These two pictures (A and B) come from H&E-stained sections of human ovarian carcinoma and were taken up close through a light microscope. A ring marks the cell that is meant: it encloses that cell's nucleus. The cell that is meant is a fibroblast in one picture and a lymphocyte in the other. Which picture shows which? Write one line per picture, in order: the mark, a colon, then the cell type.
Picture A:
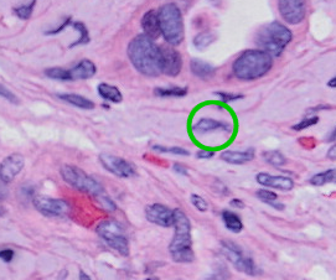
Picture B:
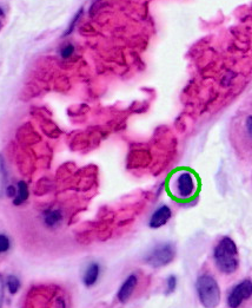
A: fibroblast
B: lymphocyte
